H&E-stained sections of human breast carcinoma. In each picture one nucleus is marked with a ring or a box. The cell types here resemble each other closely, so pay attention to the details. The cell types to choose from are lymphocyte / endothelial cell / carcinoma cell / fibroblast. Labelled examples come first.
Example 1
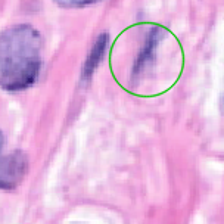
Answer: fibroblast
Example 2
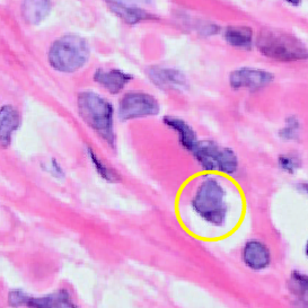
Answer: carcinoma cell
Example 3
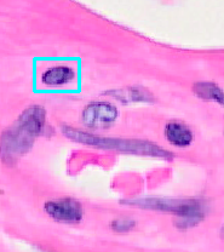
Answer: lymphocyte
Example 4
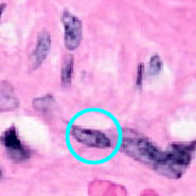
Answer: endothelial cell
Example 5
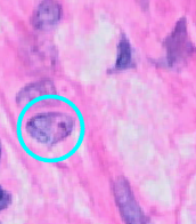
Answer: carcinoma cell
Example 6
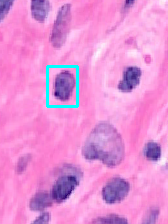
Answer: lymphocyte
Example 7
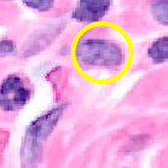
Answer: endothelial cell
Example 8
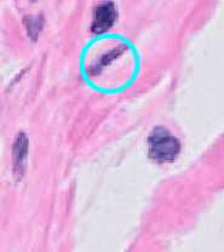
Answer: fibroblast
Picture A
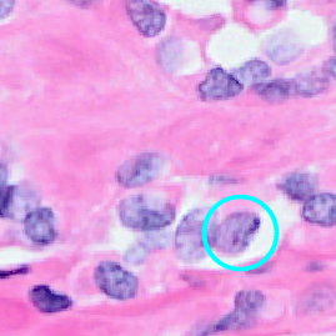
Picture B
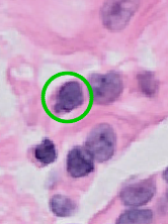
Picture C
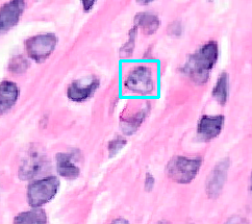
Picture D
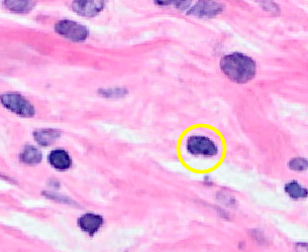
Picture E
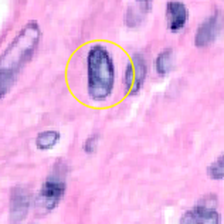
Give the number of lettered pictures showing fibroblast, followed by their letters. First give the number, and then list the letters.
0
